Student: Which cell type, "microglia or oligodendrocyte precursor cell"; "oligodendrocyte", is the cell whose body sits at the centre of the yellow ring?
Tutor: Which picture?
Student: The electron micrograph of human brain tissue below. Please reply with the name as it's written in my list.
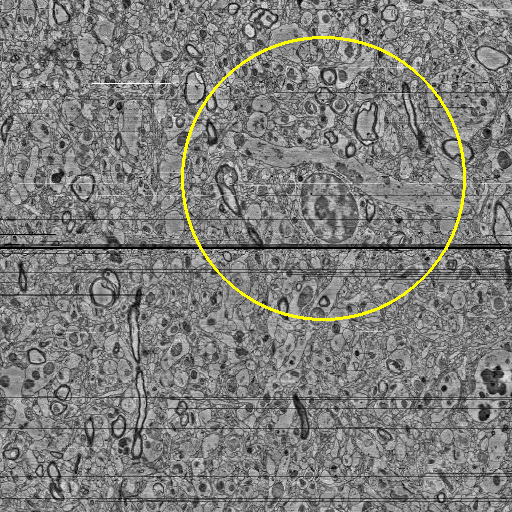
microglia or oligodendrocyte precursor cell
